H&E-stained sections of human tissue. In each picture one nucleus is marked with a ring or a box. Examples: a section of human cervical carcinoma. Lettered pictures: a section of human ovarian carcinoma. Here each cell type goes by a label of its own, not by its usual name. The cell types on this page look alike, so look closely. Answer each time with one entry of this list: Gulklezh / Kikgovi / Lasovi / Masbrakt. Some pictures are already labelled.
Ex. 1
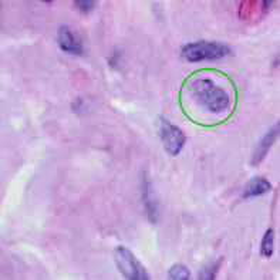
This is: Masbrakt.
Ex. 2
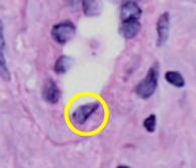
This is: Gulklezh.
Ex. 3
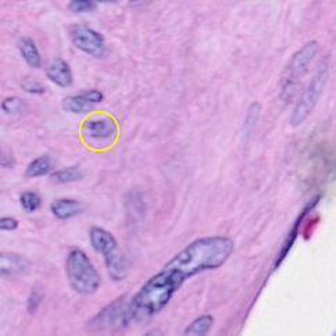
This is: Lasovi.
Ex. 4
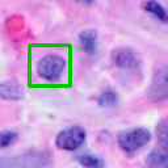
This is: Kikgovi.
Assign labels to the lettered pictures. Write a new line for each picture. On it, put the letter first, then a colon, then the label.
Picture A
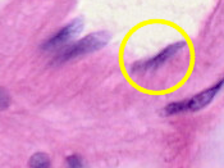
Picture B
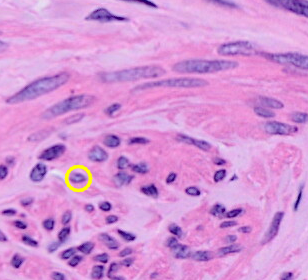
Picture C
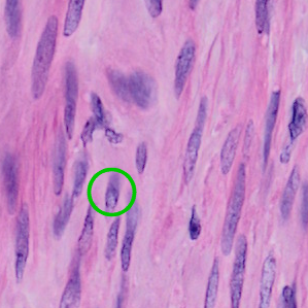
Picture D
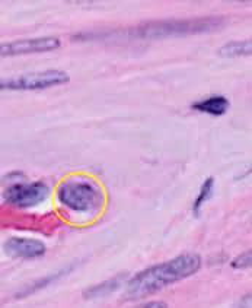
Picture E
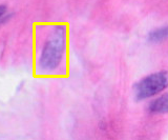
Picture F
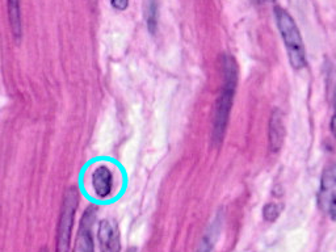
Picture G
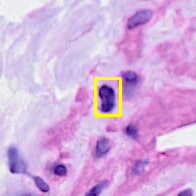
A: Gulklezh.
B: Lasovi.
C: Lasovi.
D: Gulklezh.
E: Lasovi.
F: Kikgovi.
G: Kikgovi.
